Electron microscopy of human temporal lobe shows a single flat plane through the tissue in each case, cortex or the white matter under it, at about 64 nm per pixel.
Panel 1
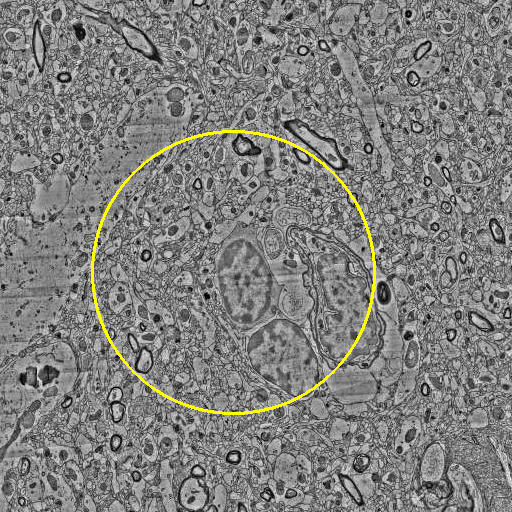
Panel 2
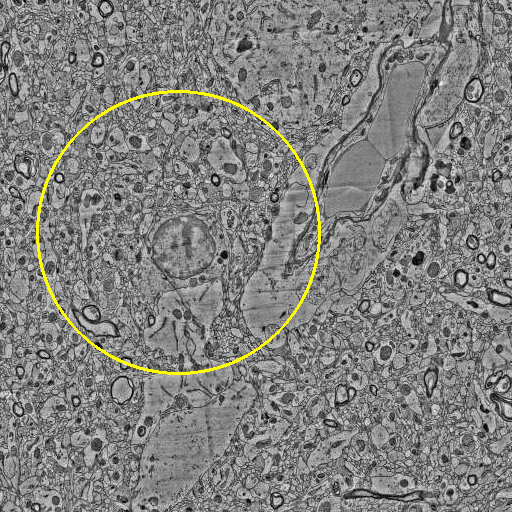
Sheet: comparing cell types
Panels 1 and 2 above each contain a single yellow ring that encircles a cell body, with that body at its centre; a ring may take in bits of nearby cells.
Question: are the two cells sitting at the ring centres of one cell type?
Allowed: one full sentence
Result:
Yes, the ring-centre cells in Panel 1 and Panel 2 are of one type.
